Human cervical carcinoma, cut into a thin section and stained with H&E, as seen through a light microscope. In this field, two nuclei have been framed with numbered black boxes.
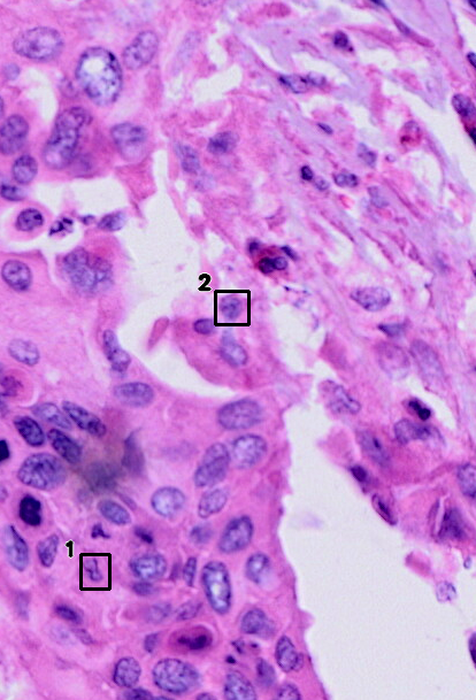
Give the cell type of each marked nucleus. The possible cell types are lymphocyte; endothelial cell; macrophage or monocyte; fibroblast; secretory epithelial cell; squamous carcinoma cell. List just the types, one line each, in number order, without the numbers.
squamous carcinoma cell
macrophage or monocyte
